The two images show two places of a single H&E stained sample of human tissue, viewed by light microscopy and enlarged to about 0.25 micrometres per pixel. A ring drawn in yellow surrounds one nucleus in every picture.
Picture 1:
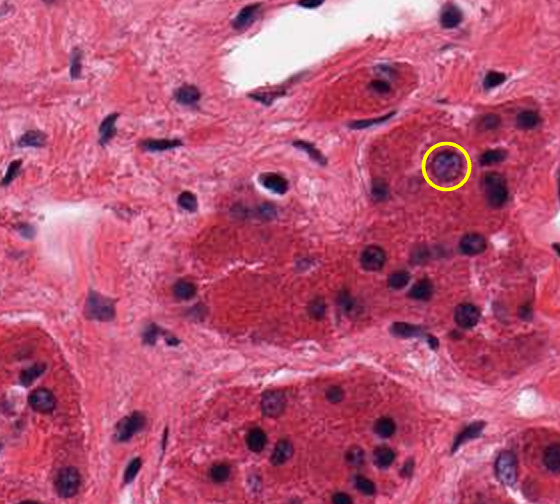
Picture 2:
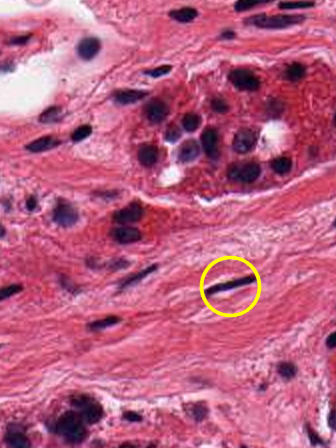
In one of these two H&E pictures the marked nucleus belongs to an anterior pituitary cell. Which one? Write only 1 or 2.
1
